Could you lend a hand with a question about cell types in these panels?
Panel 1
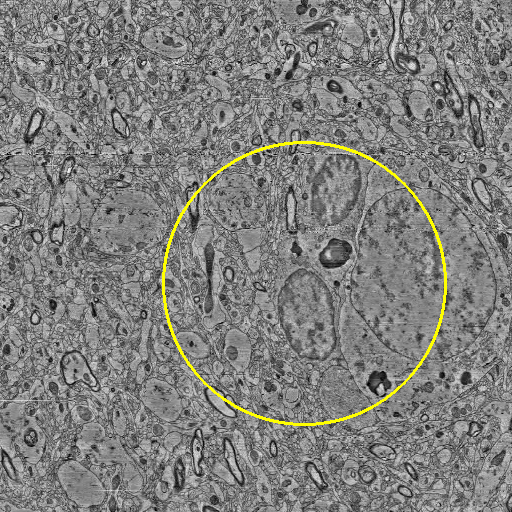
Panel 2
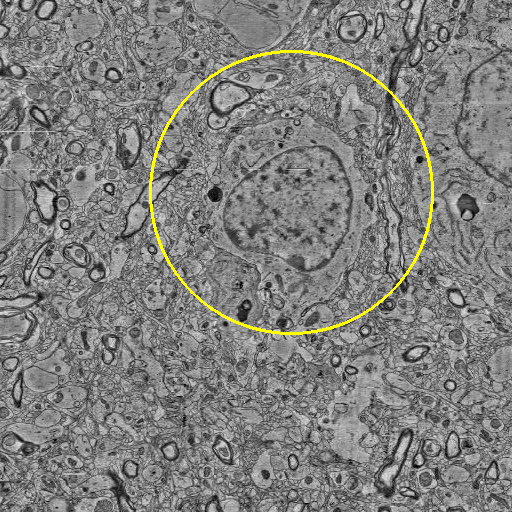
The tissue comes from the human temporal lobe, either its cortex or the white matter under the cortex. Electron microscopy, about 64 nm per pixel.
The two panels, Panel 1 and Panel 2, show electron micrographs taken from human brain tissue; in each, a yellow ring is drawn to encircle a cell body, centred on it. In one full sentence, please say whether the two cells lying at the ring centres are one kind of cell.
No, the cells at the ring centres in the two panels are two kinds of cell.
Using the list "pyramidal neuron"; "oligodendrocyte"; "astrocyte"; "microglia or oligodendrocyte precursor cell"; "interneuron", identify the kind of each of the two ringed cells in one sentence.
The first is an oligodendrocyte and the second is a microglial cell or oligodendrocyte precursor cell.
